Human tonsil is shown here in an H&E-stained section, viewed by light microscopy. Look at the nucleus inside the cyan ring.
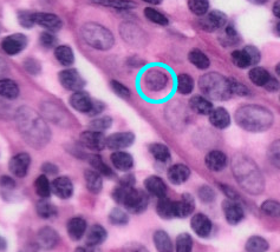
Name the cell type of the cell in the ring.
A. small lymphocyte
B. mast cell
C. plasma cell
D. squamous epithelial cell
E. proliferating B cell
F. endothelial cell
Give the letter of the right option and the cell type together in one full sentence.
Settle on option F; the cell in the ring is an endothelial cell.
